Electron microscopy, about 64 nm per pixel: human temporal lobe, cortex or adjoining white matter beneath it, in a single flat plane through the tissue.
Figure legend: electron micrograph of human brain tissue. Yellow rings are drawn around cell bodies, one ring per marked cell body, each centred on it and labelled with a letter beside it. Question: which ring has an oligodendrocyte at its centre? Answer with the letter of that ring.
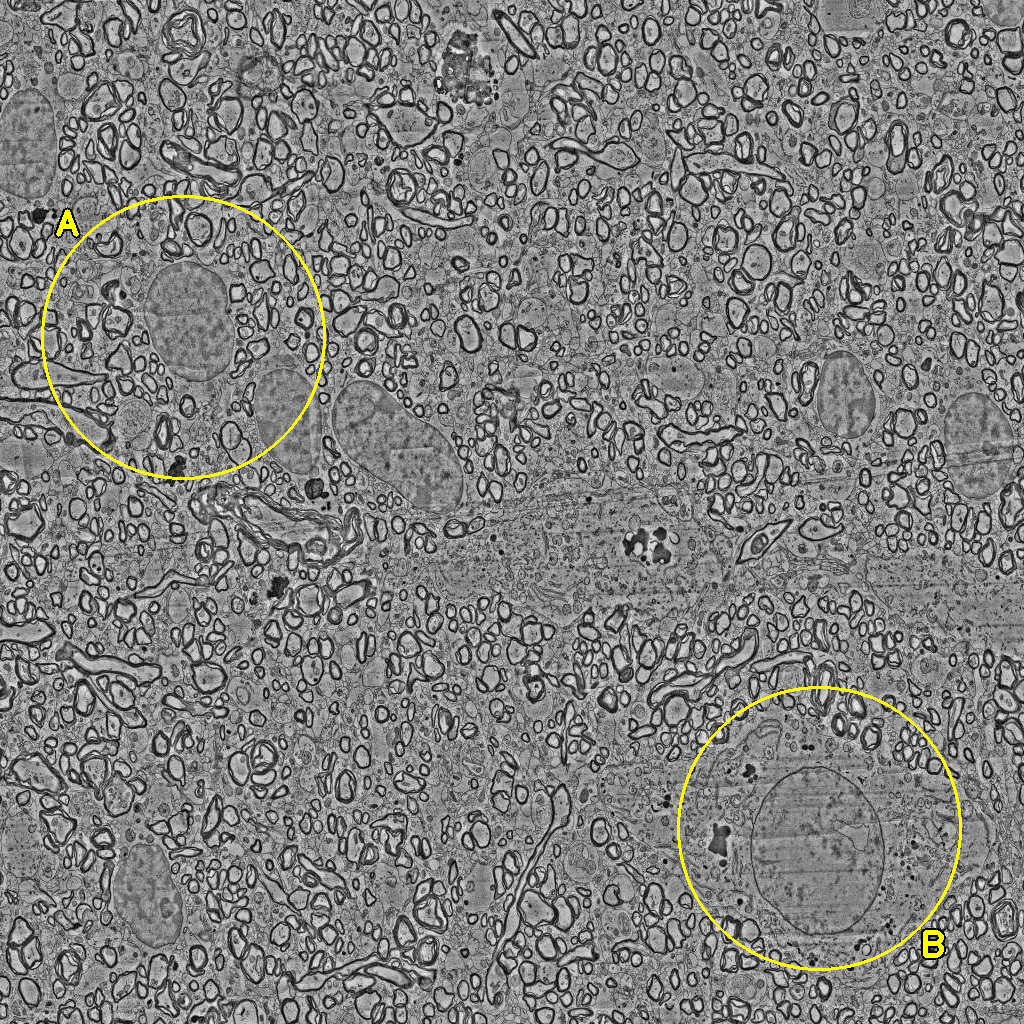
A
